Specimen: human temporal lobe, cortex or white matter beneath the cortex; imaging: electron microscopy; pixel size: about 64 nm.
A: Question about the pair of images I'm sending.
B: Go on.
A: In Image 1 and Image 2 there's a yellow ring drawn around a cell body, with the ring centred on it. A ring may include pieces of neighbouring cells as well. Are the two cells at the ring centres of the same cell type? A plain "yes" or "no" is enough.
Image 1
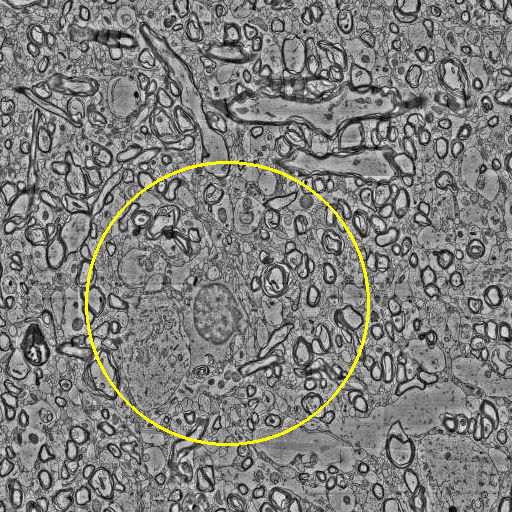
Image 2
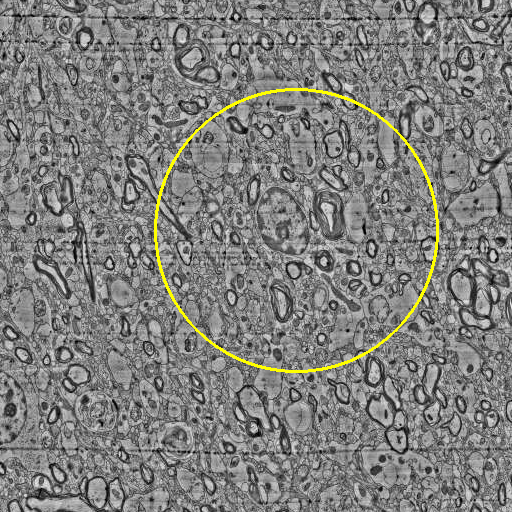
no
